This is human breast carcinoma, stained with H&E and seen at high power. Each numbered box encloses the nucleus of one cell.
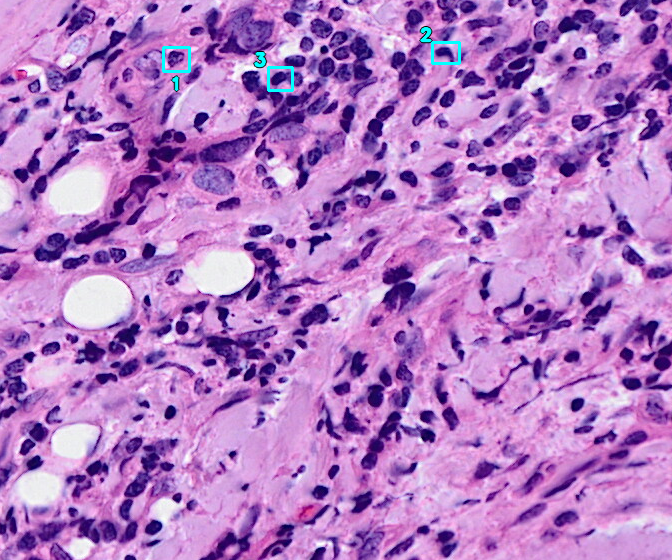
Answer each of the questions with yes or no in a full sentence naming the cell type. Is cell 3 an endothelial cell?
No, the cell bearing the number 3 is a lymphocyte, not an endothelial cell.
